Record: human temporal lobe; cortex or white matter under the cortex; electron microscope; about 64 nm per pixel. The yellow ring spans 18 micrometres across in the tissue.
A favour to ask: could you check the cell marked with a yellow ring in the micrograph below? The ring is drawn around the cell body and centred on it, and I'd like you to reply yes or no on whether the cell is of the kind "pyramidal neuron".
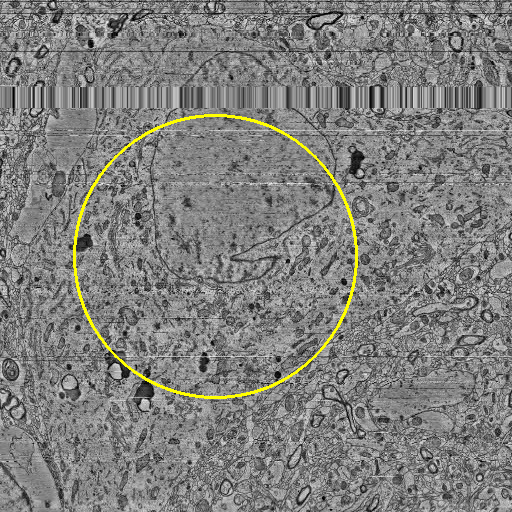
yes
